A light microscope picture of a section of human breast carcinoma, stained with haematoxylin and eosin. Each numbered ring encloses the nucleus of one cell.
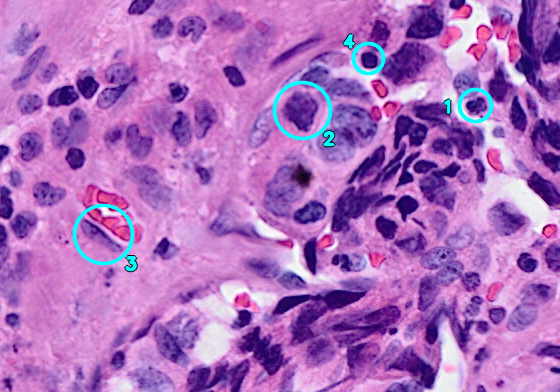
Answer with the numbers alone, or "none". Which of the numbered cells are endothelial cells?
3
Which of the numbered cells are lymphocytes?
1, 4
